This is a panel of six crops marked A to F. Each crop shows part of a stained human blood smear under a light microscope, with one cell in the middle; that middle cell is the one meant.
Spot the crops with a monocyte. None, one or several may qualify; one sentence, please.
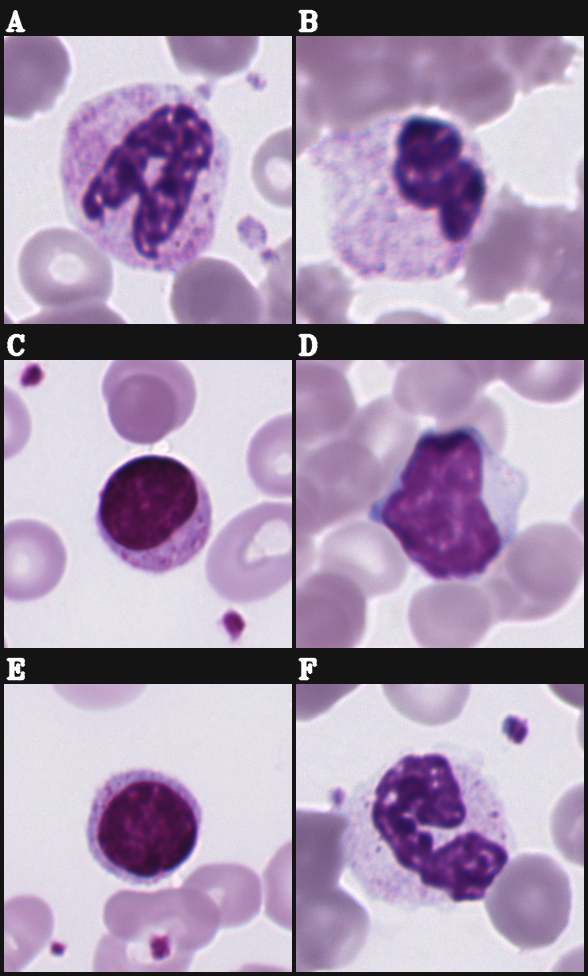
It is not the case that any crop shows a monocyte.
